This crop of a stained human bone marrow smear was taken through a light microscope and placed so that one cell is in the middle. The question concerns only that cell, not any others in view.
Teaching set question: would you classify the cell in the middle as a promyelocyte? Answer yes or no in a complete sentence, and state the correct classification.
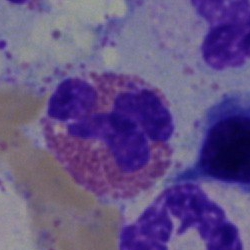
No, the cell in the middle of the field is an eosinophil, not a promyelocyte as suggested.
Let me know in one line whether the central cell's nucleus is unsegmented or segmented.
Two or more lobes make up the nucleus of this cell.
